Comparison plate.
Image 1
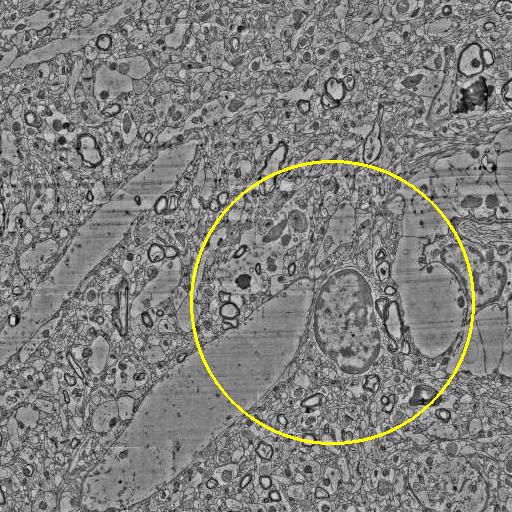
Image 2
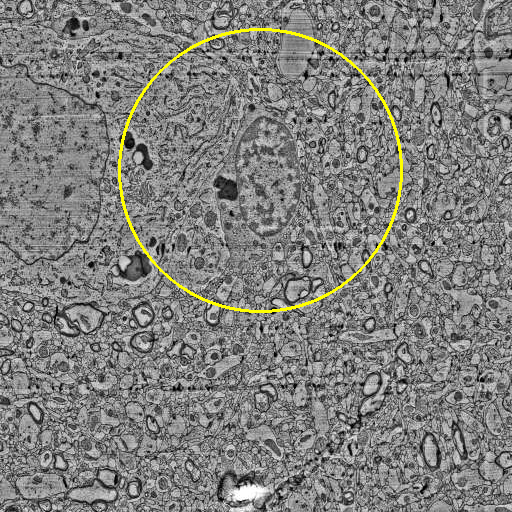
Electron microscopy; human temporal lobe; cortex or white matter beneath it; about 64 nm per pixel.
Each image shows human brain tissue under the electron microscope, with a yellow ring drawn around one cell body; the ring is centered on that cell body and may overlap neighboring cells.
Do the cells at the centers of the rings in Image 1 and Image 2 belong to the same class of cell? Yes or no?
no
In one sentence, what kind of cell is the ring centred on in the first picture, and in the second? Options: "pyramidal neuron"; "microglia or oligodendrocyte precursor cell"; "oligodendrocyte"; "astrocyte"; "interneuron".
The cell at the centre of the second ring is an oligodendrocyte; the first ring's cell is a microglial cell or oligodendrocyte precursor cell.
